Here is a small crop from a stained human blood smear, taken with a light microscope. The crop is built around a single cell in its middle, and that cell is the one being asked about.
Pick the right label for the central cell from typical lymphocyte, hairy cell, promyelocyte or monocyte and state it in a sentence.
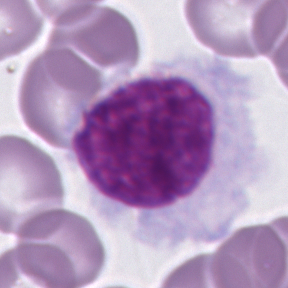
The crop's centre is taken up by a hairy cell.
